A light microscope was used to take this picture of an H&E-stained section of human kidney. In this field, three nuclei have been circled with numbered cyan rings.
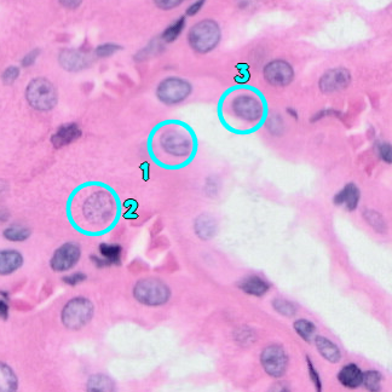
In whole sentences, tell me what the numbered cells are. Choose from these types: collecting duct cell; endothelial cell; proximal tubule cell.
Cells 1 and 3 are collecting duct cells. Cell 2 is a proximal tubule cell.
